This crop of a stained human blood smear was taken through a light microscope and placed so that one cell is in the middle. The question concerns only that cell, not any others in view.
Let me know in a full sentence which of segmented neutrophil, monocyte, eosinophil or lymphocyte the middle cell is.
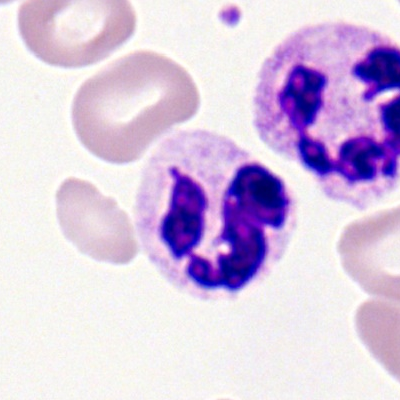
The target cell in the middle of the crop is a segmented neutrophil.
